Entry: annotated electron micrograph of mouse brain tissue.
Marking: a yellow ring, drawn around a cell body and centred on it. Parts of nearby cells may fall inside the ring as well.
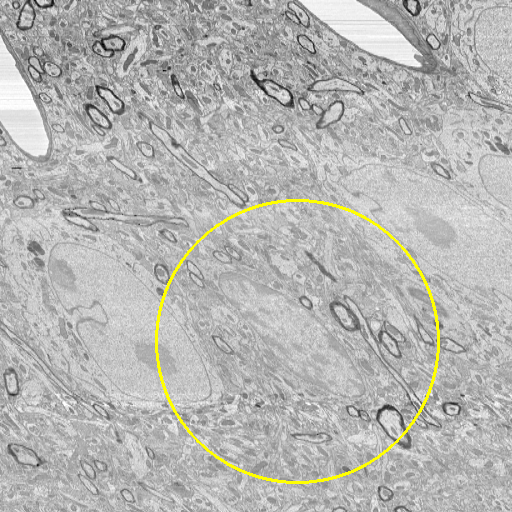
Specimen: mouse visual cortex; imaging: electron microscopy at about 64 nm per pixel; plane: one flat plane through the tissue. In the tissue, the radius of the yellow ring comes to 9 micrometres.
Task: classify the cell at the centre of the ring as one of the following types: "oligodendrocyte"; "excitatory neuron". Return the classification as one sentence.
The marked cell is classified as an oligodendrocyte.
